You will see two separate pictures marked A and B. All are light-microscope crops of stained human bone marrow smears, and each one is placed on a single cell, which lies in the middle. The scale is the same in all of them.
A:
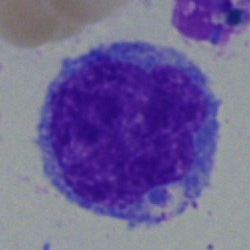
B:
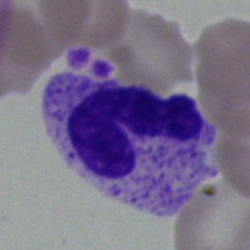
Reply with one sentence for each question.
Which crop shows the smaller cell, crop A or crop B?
It is the cell in crop B; the cell in crop A has about 1.5 times its area.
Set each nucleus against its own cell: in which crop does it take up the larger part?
It is the cell in crop A that is filled more by its nucleus.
